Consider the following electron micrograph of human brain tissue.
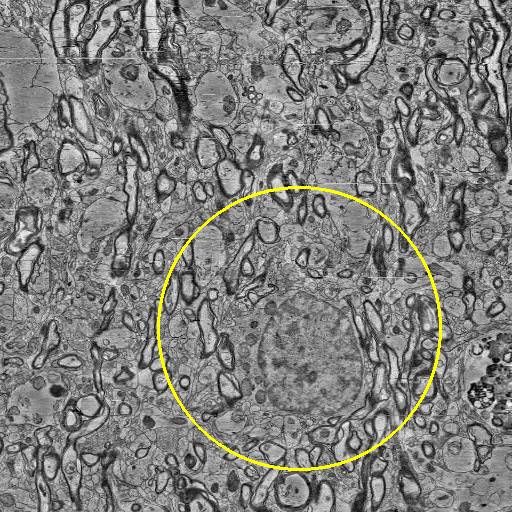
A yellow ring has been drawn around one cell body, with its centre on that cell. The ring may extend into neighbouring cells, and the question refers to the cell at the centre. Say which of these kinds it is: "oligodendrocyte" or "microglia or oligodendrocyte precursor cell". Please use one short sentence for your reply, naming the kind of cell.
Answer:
The centre of the ring falls on an oligodendrocyte.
